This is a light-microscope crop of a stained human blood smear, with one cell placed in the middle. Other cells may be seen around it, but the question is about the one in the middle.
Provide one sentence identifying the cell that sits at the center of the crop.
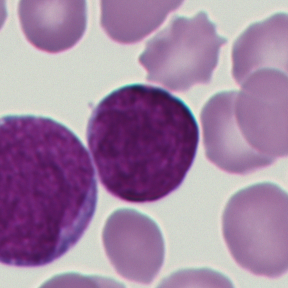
Here the centrally located cell is a blast.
